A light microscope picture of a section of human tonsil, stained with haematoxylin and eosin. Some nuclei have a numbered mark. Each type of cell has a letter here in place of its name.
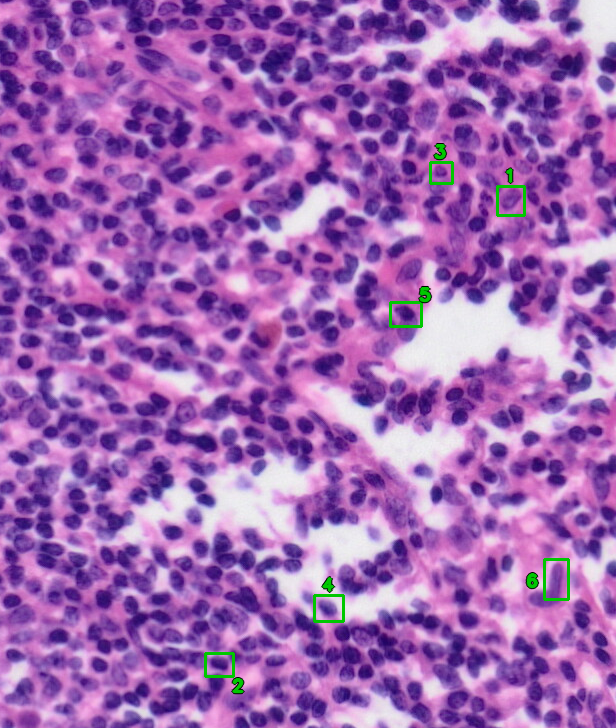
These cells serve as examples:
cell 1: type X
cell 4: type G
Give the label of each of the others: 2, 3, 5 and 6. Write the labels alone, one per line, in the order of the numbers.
type G
type X
type X
type X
